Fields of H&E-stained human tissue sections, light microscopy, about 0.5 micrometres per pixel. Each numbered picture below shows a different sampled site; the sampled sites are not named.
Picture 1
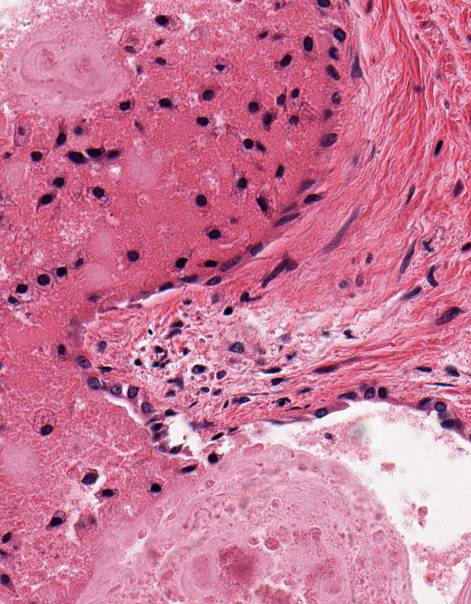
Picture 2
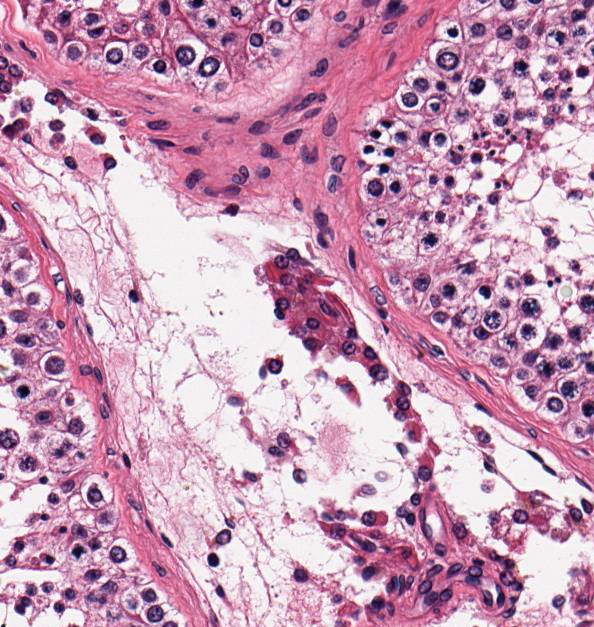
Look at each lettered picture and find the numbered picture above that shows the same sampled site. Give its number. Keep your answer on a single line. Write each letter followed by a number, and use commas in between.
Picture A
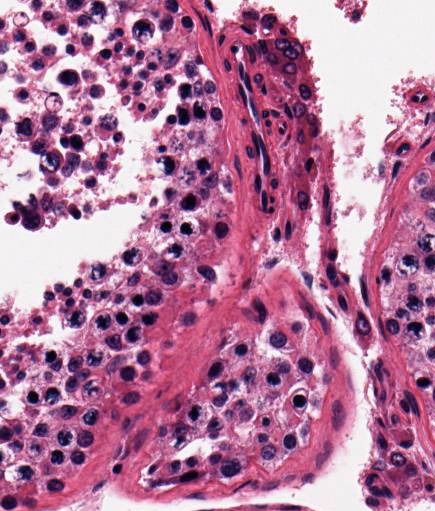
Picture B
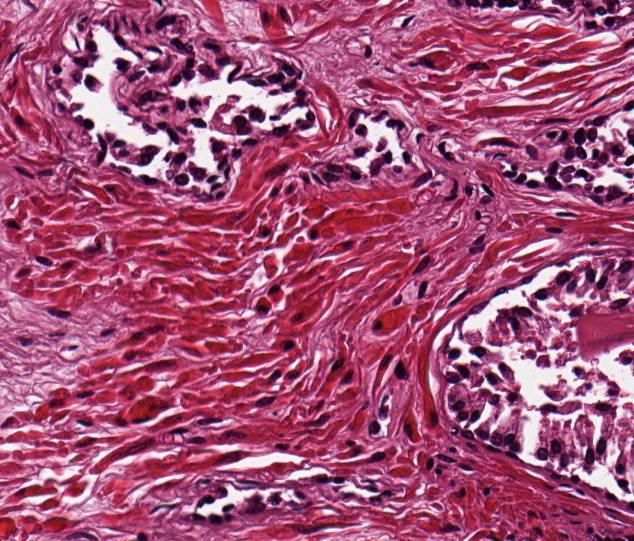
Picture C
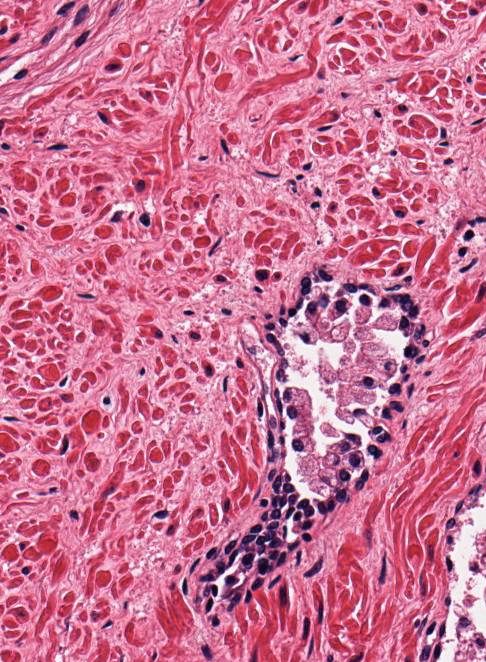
A 2, B 1, C 1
